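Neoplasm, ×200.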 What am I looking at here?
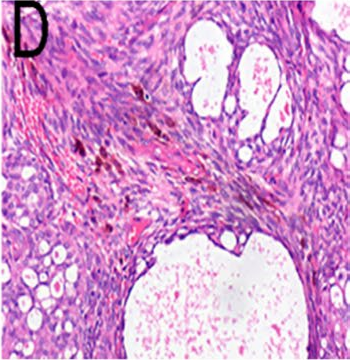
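A tumour area made mostly of spindle-shaped cells with elongated oval nuclei and pink cytoplasm, arranged in streaming, interlacing fascicles. Within this spindle cell field lie several clear, rounded glandular spaces, one large and partly filled with pale pink material and red blood cells, others smaller with lacy contents.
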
